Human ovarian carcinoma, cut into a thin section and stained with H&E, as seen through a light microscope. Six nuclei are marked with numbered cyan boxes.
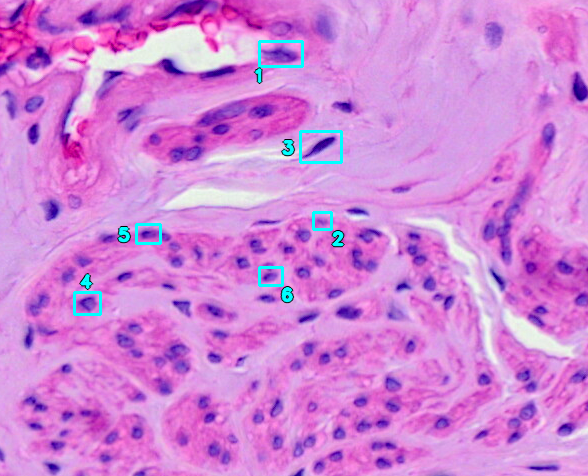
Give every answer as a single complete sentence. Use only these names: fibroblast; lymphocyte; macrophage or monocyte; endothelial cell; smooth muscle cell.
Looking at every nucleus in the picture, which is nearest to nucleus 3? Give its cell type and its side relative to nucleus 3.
The closest nucleus belongs to a macrophage or monocyte and sits above and to the right of nucleus 3.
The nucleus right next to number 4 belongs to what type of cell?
Closest to number 4 lies the nucleus of a smooth muscle cell.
